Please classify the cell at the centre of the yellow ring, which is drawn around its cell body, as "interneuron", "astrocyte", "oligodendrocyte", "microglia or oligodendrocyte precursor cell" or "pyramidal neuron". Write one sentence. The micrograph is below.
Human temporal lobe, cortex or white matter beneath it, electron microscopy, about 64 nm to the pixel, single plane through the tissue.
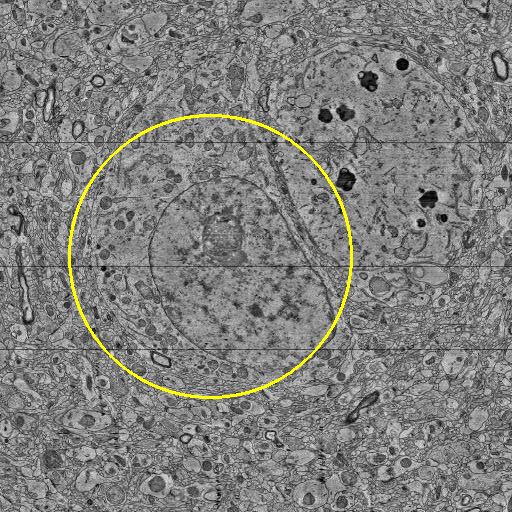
The cell at the ring's centre is classified as an interneuron.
